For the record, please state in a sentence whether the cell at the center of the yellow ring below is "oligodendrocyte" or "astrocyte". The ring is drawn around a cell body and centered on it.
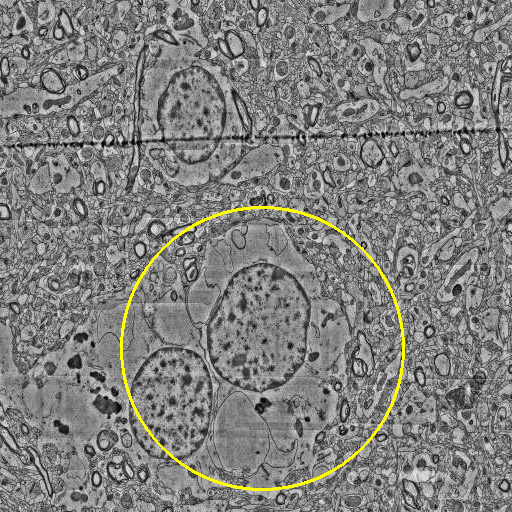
The cell at the ring's center is an astrocyte.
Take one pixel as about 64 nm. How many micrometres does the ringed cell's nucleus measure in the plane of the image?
In this plane the nucleus measures roughly 8 by 6 micrometres.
